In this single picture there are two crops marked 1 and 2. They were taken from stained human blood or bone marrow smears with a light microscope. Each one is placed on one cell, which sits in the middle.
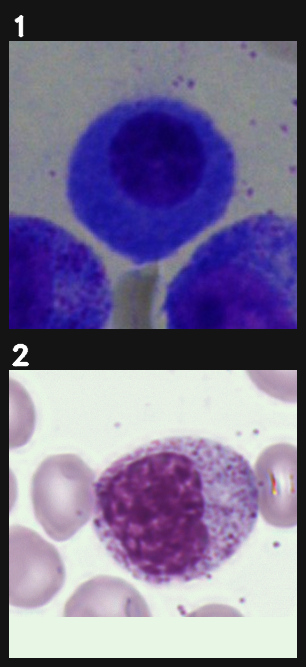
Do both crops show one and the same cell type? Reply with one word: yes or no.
no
